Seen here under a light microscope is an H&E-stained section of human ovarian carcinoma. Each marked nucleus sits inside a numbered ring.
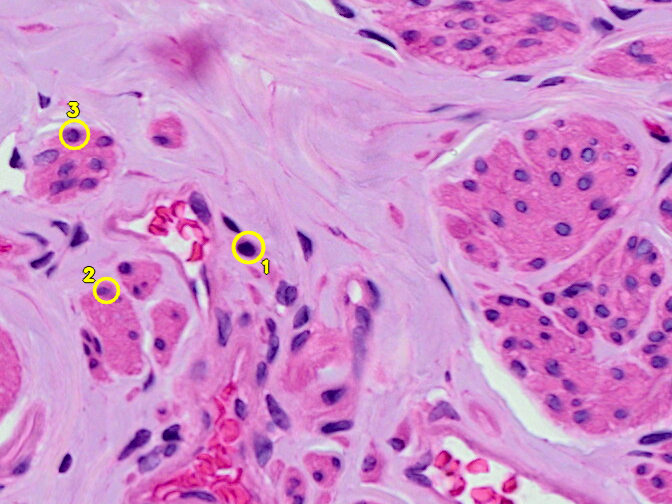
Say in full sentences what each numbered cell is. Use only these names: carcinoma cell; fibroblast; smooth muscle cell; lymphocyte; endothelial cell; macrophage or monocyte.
Cell 1 is a lymphocyte, cell 2 is a smooth muscle cell and cell 3 is a smooth muscle cell.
